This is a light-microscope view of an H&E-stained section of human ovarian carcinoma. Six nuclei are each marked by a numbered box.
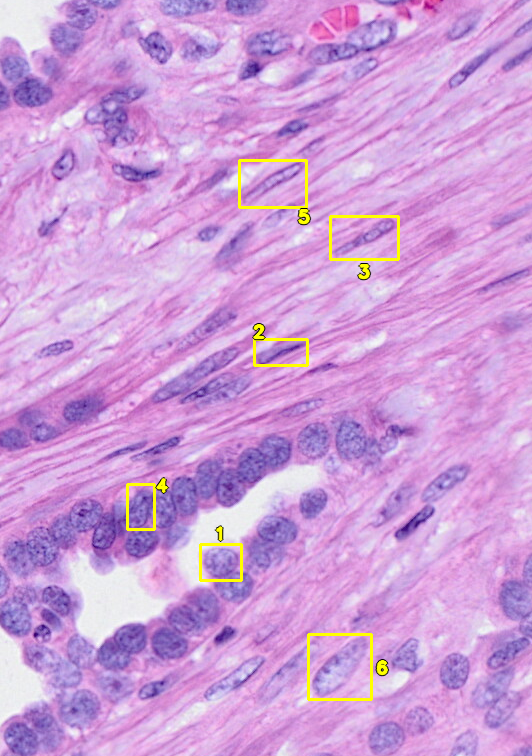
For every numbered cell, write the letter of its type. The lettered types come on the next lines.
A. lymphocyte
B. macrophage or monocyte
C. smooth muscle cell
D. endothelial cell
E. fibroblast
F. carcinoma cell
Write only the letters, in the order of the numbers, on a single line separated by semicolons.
F; E; E; F; E; E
